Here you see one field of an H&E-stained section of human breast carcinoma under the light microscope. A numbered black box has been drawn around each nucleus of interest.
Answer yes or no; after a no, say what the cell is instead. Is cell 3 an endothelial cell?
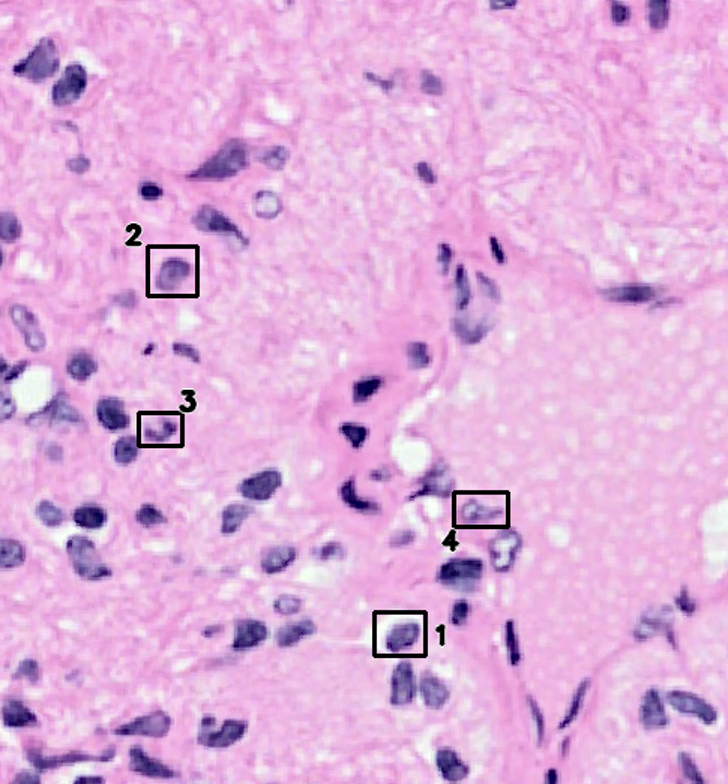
No, it is a lymphocyte.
